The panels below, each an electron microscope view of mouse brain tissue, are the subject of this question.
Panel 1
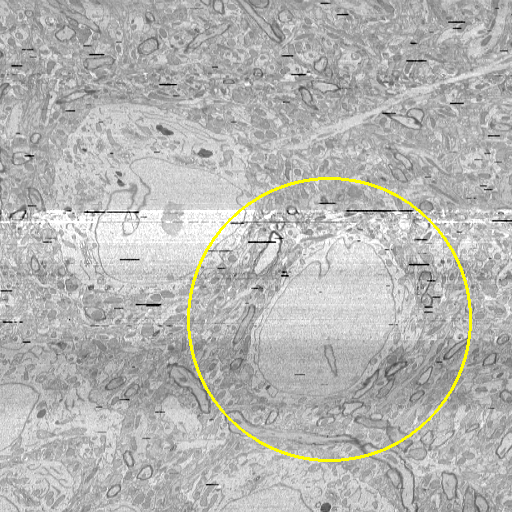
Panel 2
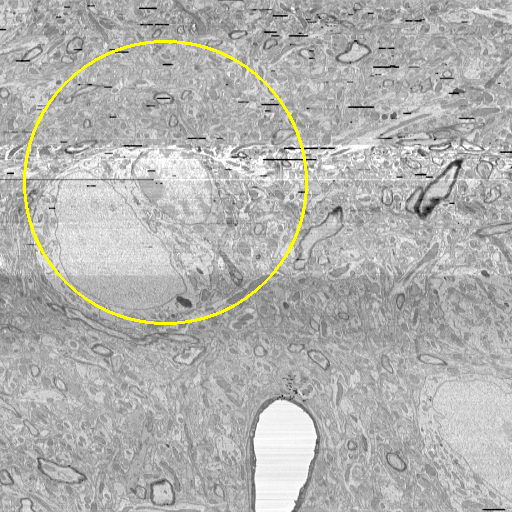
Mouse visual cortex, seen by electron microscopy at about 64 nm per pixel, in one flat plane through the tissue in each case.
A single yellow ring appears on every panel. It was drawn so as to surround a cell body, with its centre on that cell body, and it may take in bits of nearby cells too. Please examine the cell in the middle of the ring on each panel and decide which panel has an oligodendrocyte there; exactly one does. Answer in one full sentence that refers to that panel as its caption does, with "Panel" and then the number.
Panel 2 is where the ring's central cell answers the question.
